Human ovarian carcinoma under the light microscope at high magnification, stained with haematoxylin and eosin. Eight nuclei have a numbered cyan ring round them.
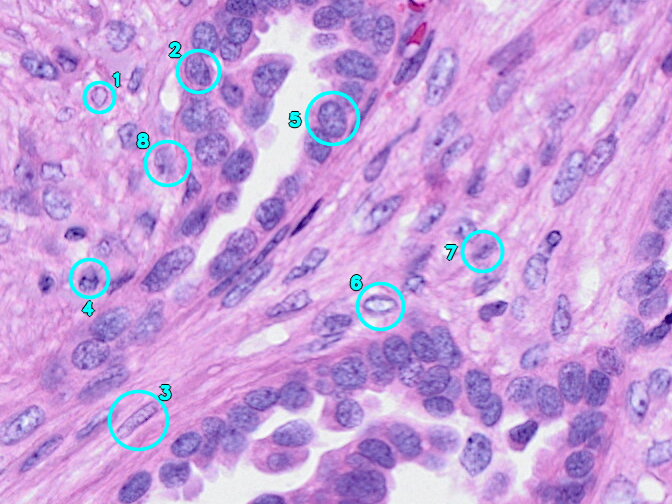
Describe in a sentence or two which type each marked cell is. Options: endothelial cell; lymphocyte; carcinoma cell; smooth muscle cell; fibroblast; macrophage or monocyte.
Cells 1, 3, 6, 7 and 8 are fibroblasts. Cells 2 and 5 are carcinoma cells. Cell 4 is a macrophage or monocyte.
